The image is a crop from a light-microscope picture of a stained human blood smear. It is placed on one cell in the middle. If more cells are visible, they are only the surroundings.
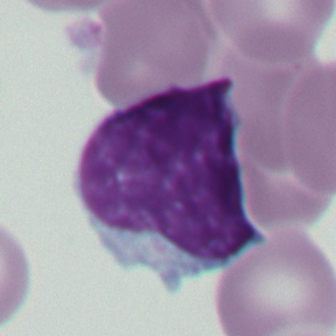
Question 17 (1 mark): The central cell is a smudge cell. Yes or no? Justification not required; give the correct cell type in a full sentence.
No, the central cell is not a smudge cell; it is a typical lymphocyte.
